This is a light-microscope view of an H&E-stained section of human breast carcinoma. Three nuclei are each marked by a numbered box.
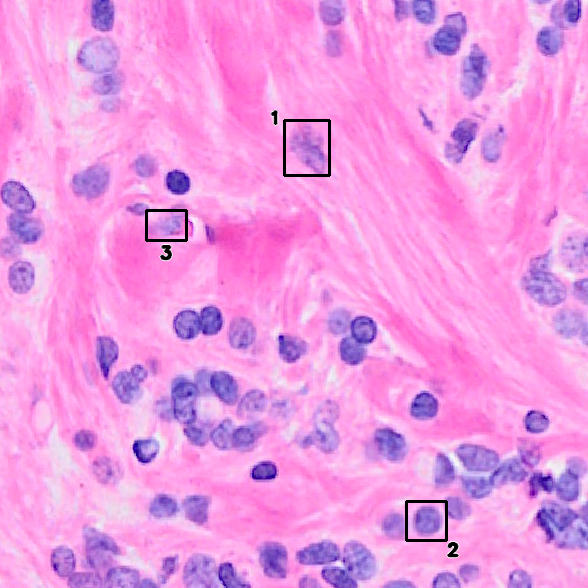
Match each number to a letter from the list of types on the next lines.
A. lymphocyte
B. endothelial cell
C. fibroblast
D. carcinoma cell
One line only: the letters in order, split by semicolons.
C; D; B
